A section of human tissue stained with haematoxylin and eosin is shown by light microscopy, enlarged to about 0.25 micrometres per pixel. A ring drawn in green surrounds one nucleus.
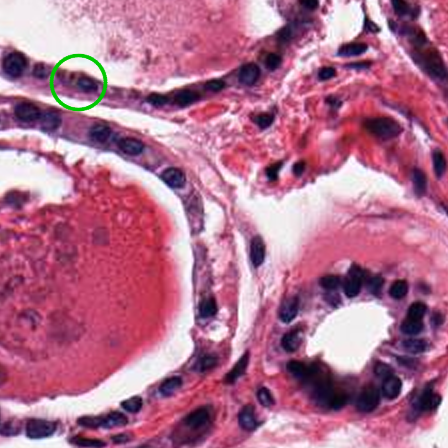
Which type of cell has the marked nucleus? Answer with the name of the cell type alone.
thyroid follicular cell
